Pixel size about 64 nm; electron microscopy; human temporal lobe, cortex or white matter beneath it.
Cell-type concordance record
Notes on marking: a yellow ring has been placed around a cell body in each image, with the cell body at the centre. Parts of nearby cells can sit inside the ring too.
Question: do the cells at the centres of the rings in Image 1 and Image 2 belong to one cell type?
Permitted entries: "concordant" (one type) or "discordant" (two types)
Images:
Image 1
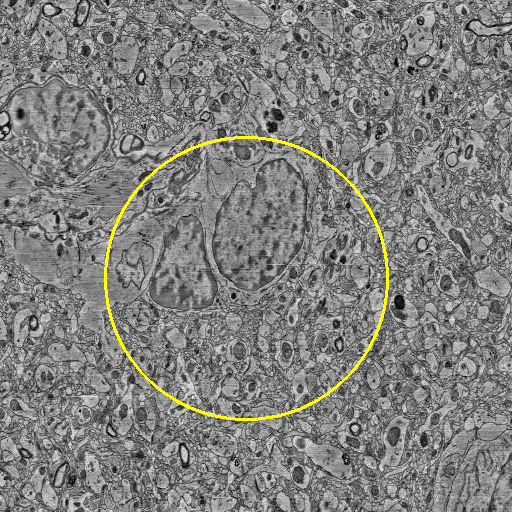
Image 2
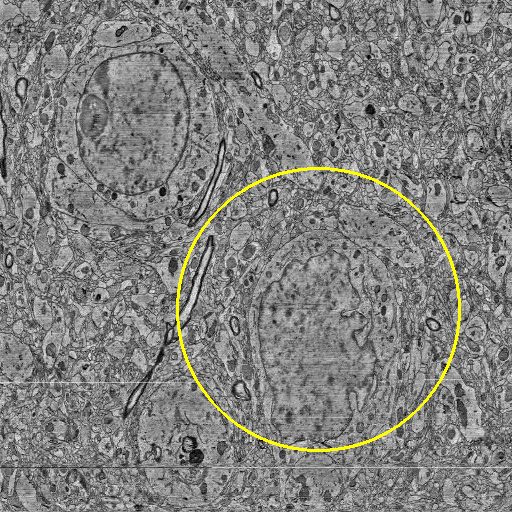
discordant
